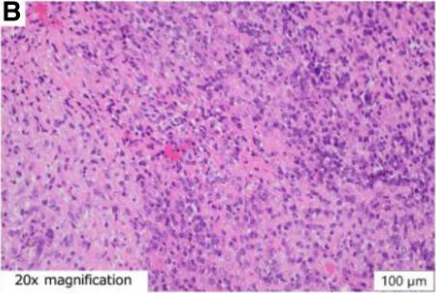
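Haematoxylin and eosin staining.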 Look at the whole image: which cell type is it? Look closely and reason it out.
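Cells range from elongated to angular shapes. Cells are densely packed with pink cytoplasm.
Spindle- to polygonal-shaped cells.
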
